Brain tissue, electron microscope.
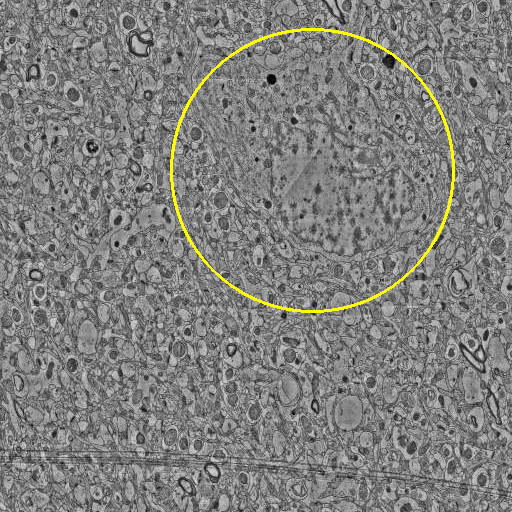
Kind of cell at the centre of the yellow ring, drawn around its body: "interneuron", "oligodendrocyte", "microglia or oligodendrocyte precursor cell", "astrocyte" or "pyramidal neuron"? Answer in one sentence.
The ring's centre falls on an interneuron.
